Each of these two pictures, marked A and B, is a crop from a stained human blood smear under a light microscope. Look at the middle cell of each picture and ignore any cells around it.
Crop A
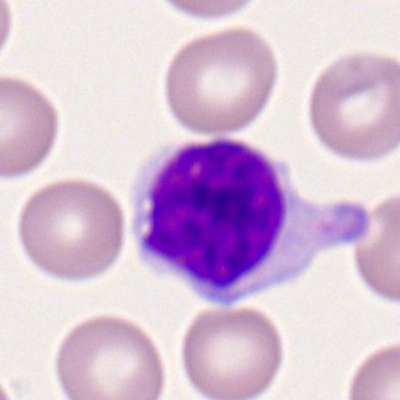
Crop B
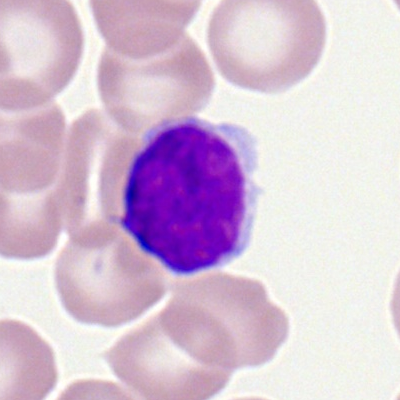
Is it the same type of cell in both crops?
yes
